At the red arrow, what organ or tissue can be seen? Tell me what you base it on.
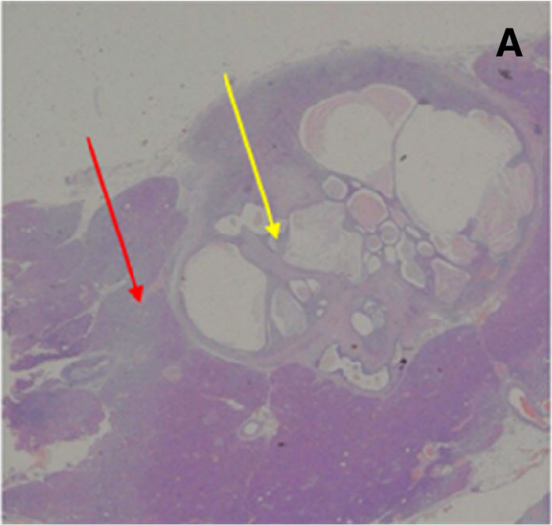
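The red arrow points at lobulated pink-purple tissue outside the rounded cystic nodule. This tissue is divided into lobules by pale clefts.
Answer: pancreatic parenchyma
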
